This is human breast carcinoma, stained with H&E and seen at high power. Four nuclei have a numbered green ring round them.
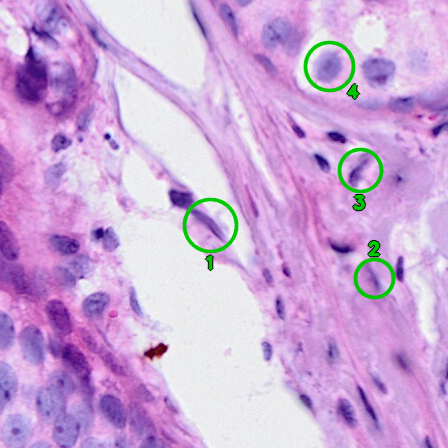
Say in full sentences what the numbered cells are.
Cells 1, 2 and 3 are fibroblasts. Cell 4 is a carcinoma cell.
